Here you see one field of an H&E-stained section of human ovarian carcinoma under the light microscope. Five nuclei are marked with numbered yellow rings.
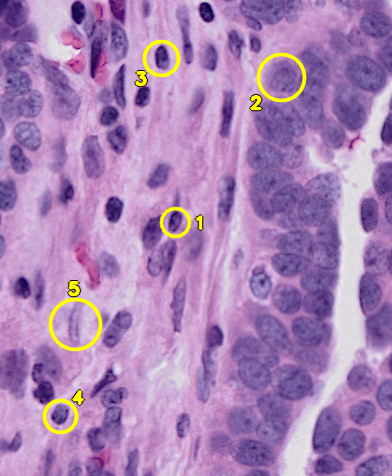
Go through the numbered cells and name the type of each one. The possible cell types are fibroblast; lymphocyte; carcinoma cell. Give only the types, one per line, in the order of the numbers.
lymphocyte
carcinoma cell
lymphocyte
lymphocyte
fibroblast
